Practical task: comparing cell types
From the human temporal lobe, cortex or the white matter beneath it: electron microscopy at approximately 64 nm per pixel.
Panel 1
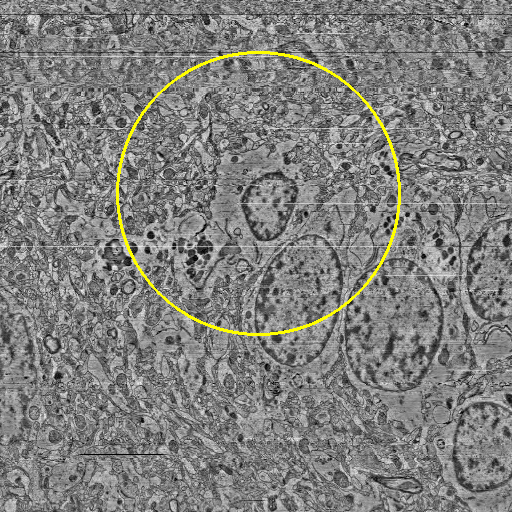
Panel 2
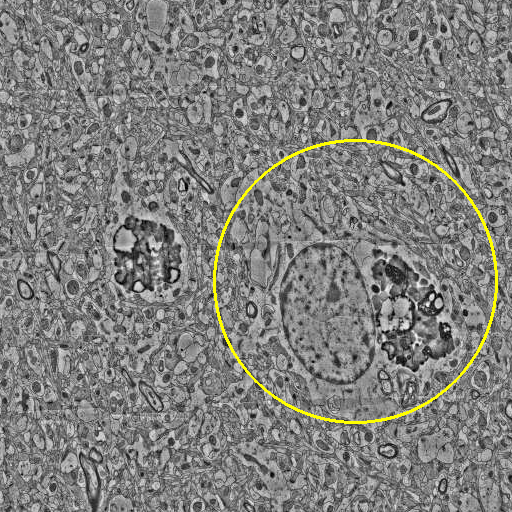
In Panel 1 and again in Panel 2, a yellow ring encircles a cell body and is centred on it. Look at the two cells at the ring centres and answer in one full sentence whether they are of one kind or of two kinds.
The two cells sitting at the ring centres of Panels 1 and 2 are of one kind.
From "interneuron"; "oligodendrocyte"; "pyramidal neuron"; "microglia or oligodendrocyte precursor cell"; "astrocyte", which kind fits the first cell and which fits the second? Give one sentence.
Each cell at the centre of a ring is an astrocyte.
